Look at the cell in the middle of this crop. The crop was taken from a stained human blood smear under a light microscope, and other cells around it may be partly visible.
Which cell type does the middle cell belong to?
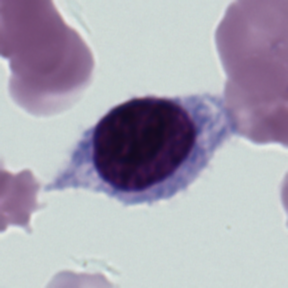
hairy cell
